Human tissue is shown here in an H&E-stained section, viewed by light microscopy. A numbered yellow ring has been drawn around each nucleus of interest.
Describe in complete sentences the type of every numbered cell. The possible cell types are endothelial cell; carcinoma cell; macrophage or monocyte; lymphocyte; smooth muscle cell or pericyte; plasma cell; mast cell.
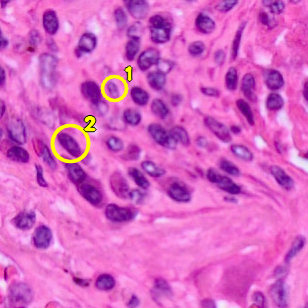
Cell 1 is a lymphocyte. Cell 2 is a plasma cell.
